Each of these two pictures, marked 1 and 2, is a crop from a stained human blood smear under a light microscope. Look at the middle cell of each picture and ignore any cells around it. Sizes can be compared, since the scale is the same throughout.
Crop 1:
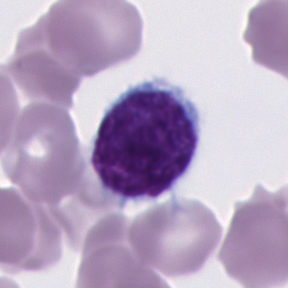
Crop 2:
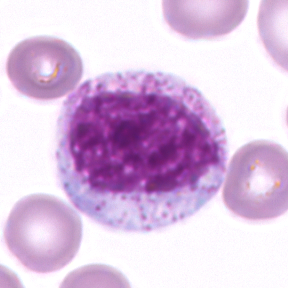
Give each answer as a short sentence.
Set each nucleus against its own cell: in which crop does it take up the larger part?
It is the cell in crop 1 that is filled more by its nucleus.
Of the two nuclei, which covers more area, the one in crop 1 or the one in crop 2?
Crop 2 shows the larger nucleus; it covers about 1.5 times the area of the nucleus in crop 1.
